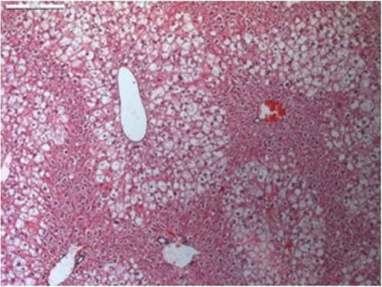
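This is a section of liver in which large regions of hepatocytes are distended by clear, round, unstained vacuoles of varying size. The vacuolated hepatocytes form pale, foamy zones, while narrower bands of pinker, less vacuolated hepatocytes run between them. Vessel lumens are visible as clear spaces, one of them containing red blood cells. Overall the parenchyma shows widespread hepatocytic vacuolization with degenerative change, in contrast to the compact pink appearance of normal liver.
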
